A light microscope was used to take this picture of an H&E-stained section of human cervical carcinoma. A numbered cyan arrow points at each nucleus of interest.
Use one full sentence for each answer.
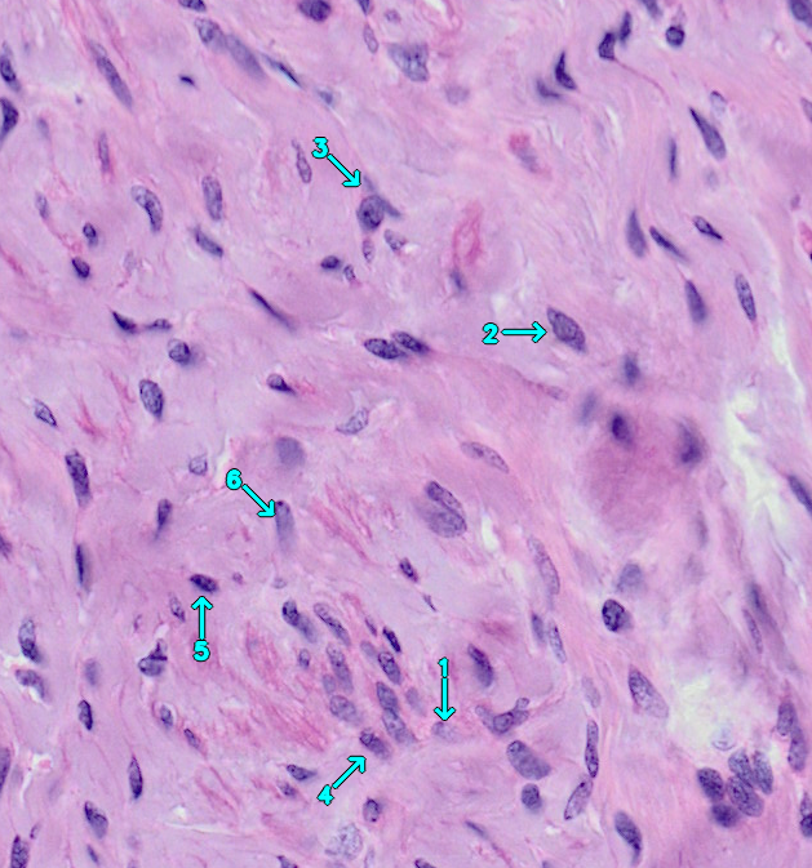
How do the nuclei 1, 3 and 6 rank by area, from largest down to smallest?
Going from the biggest nucleus down to the smallest gives 3, 6, 1.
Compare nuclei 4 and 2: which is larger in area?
Nucleus 2 is larger, with an area about 2.5 times that of nucleus 4.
